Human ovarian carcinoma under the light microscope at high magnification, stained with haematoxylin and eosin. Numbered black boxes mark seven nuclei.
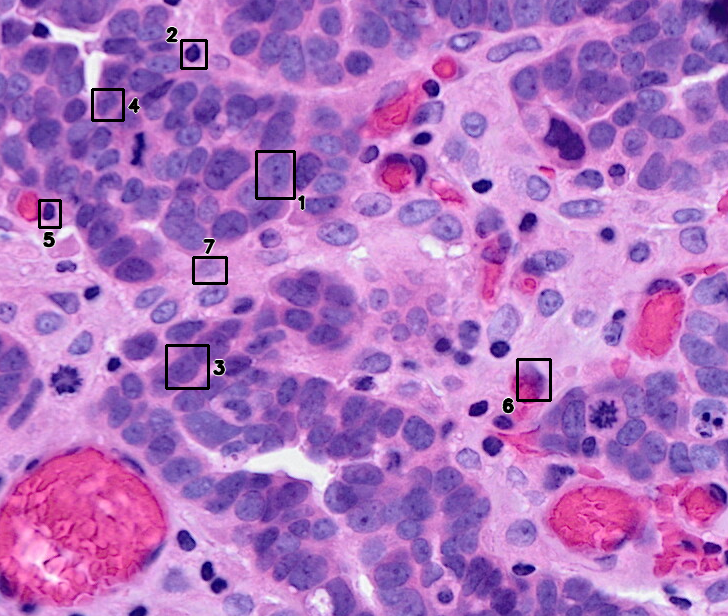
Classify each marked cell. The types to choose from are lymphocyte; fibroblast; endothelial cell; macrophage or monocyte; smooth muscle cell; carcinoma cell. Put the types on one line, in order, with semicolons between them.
carcinoma cell; lymphocyte; carcinoma cell; carcinoma cell; lymphocyte; endothelial cell; fibroblast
